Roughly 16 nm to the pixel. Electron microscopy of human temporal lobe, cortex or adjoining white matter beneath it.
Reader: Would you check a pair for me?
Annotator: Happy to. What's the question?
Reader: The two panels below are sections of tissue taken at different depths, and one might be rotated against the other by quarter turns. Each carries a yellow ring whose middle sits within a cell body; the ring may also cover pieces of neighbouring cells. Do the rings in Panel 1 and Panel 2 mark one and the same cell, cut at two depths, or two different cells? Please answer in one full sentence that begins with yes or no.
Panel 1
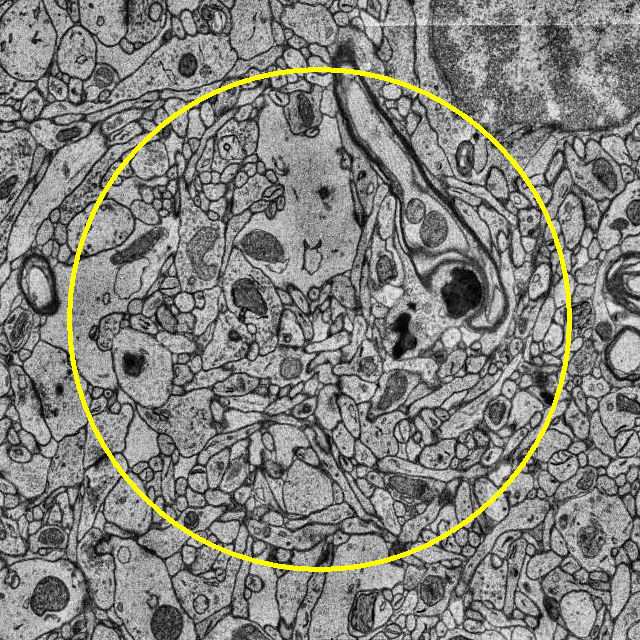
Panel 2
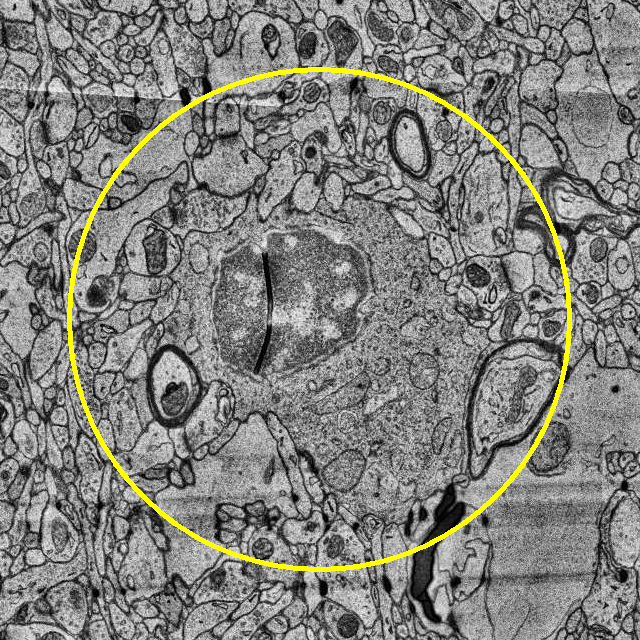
No, it is two different cells that the rings mark.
